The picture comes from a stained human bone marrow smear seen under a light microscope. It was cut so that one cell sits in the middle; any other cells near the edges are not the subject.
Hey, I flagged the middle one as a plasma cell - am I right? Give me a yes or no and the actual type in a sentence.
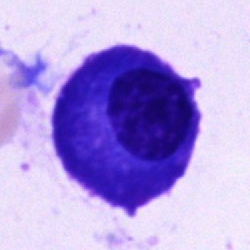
Yes, the middle cell is properly termed a plasma cell.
